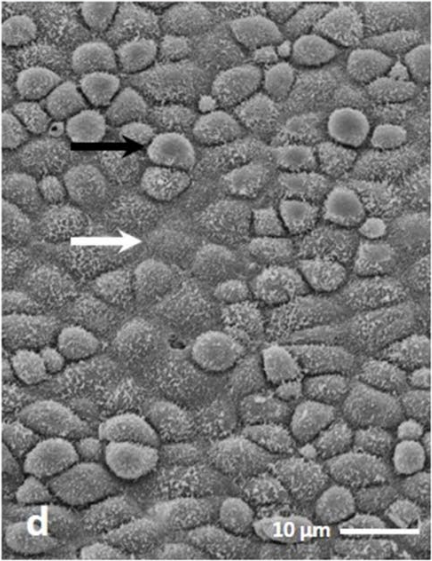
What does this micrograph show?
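This scanning view shows the surface of an epithelium seen from above, made of a mosaic of superficial cells. Some cells are convex, dome-shaped and rounded, standing clearly above the surface; several sit in close pairs separated by a fine groove. Between them lie flat, polygonal cells whose borders form a level pavement. The bulging cells are scattered unevenly, sometimes in small clusters, leaving patches where flat cells predominate.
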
